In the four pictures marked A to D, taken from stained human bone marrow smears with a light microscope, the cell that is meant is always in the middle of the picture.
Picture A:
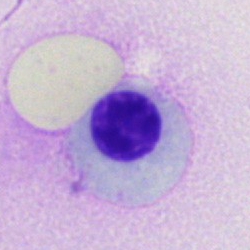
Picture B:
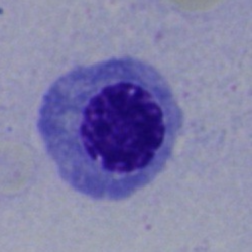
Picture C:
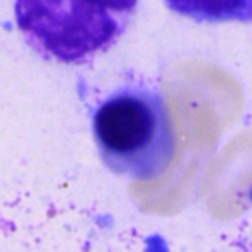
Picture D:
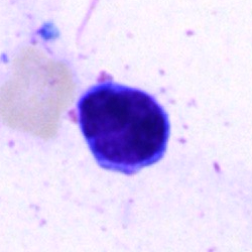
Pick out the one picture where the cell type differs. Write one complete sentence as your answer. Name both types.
Picture D differs, because its cell is a lymphocyte and the rest are erythroblasts.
